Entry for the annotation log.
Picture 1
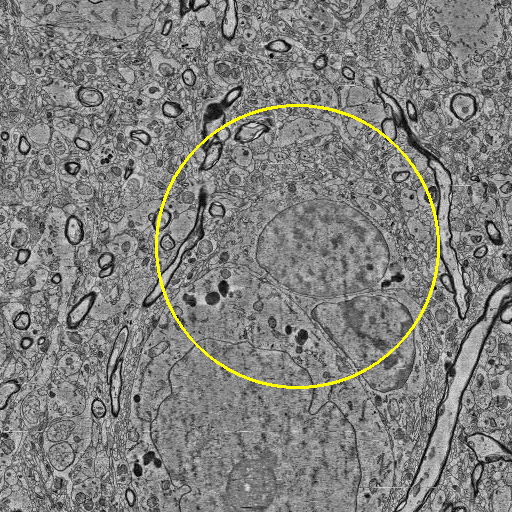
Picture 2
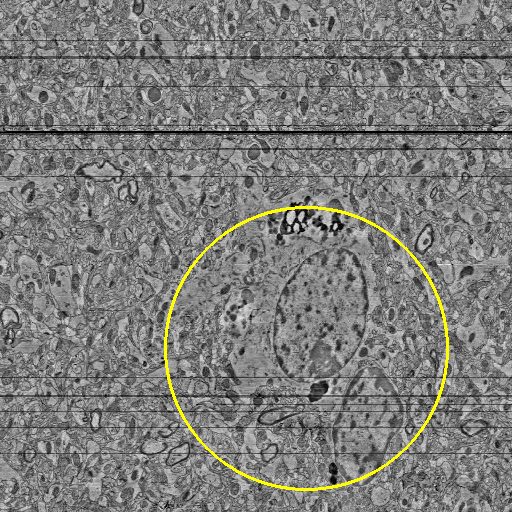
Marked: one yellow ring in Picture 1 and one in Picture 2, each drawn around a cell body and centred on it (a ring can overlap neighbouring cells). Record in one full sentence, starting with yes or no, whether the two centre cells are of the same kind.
No, the two cells are of two kinds.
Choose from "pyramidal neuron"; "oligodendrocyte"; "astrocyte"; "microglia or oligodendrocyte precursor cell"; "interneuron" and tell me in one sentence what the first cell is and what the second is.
What the first ring is centred on is an oligodendrocyte; what the second ring is centred on is an astrocyte.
